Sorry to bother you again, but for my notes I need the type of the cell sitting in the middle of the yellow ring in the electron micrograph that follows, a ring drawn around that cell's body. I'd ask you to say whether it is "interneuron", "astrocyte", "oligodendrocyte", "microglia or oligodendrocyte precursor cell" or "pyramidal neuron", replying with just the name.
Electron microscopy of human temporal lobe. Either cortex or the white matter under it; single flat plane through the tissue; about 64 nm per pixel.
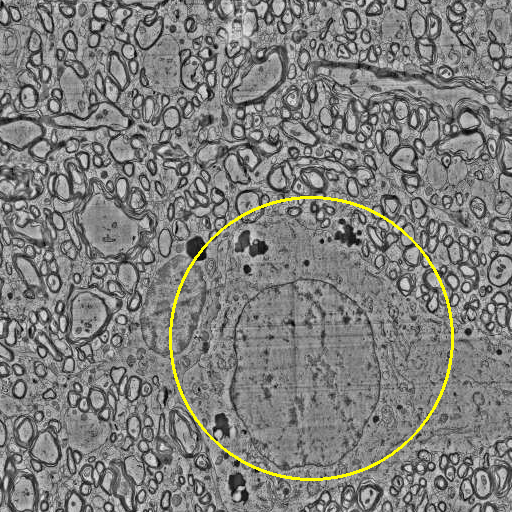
pyramidal neuron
